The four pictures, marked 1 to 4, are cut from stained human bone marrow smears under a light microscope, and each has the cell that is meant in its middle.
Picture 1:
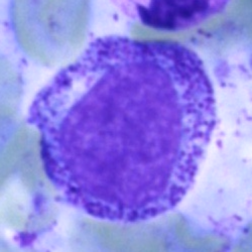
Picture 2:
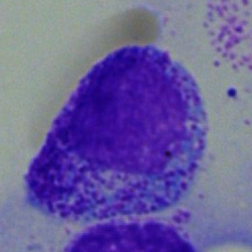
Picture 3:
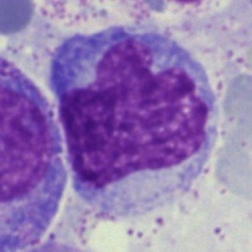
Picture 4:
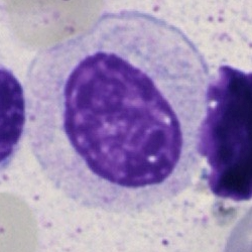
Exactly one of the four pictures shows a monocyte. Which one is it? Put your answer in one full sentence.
The picture with the monocyte is 3.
